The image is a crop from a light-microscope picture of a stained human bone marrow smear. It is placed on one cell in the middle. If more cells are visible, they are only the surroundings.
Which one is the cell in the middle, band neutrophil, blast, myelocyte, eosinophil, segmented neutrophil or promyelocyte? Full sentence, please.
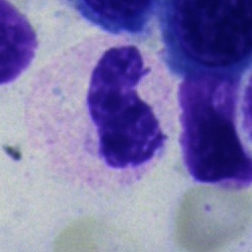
At the crop's centre, the cell is a band neutrophil.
